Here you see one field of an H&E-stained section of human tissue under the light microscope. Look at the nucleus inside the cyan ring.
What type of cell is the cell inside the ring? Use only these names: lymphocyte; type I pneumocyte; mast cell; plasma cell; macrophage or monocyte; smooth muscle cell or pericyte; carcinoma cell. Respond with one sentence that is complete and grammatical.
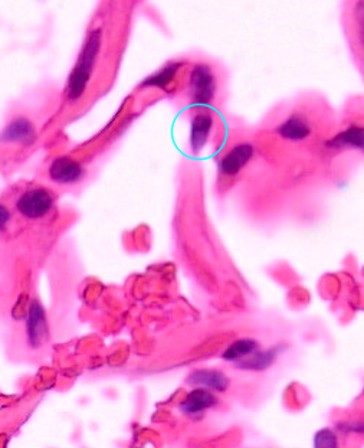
Within this tissue, the cell inside the ring is a type I pneumocyte.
